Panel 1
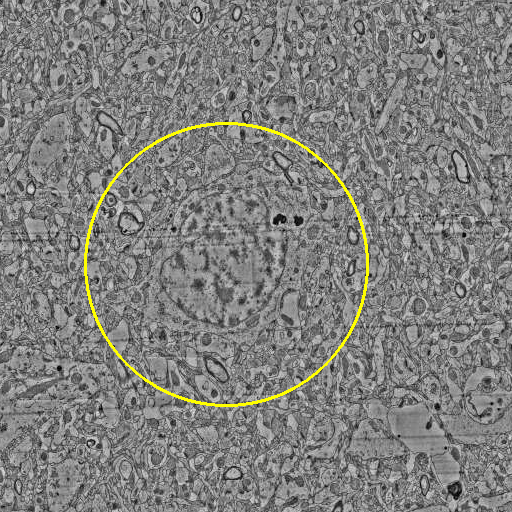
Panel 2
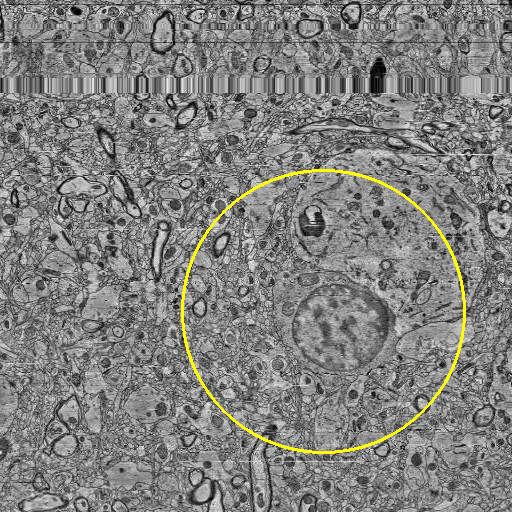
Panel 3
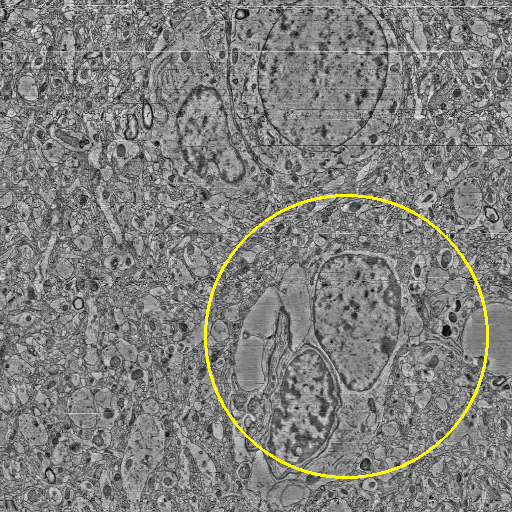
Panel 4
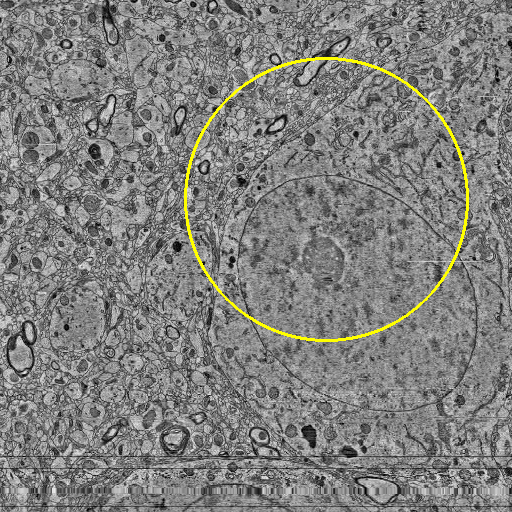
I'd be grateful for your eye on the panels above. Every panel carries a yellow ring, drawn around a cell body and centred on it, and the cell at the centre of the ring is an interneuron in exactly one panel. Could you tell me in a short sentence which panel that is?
Panel 1 is the one with it at the centre of the ring.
